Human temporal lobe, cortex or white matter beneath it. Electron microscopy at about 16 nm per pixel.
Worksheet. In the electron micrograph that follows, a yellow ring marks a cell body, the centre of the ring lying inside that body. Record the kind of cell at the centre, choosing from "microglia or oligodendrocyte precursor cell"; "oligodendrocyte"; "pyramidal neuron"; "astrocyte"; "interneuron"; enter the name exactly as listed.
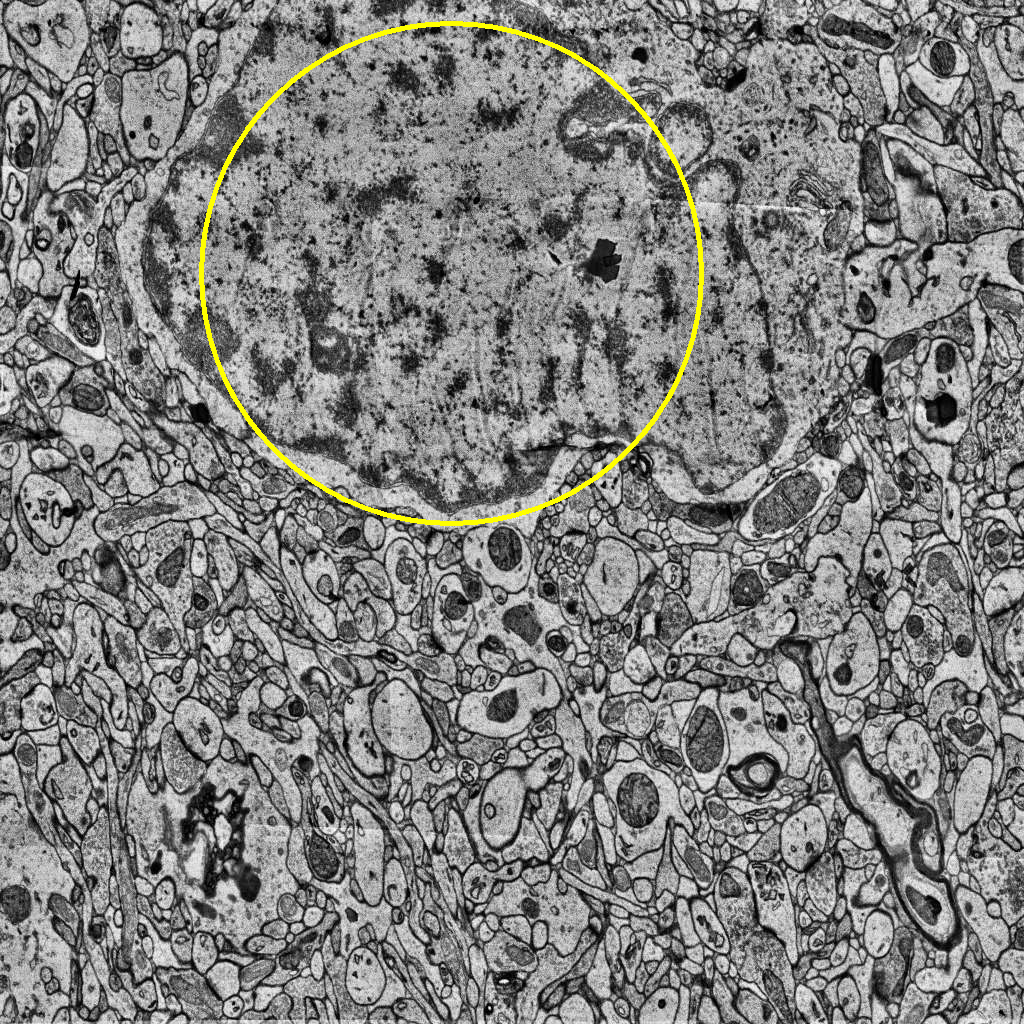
microglia or oligodendrocyte precursor cell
